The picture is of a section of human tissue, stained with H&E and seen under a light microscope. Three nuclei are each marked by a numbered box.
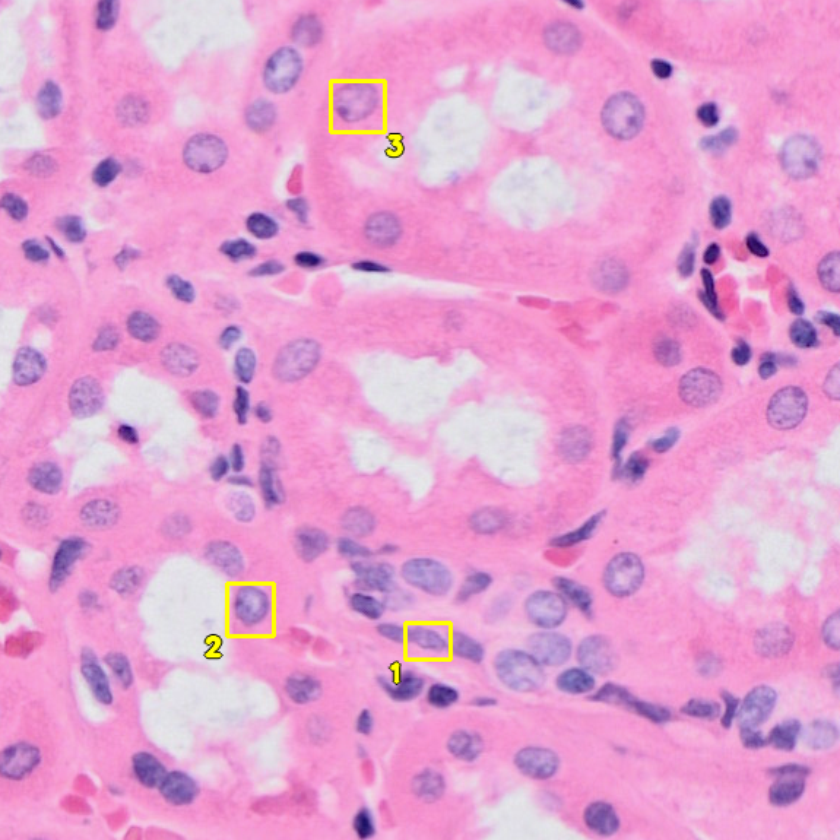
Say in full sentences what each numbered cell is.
Cell 1 is a collecting duct cell. Cell 2 is a loop of Henle or distal tubule cell. Cell 3 is a proximal tubule cell.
